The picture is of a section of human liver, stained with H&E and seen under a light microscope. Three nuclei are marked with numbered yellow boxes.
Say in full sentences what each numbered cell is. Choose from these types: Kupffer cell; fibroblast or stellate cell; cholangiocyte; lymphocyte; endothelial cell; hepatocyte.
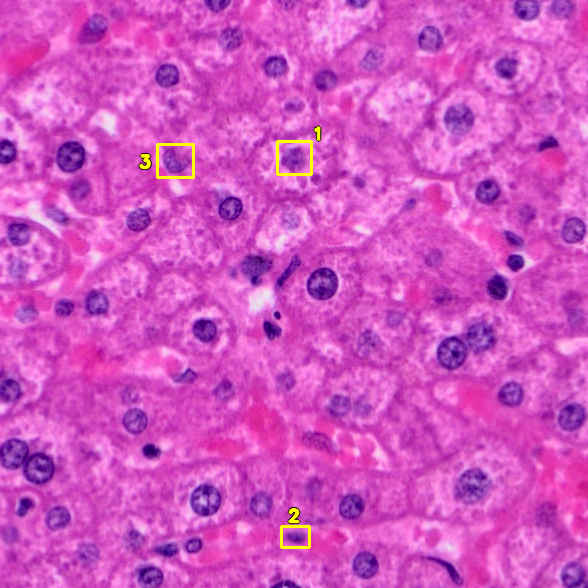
Cell 1 is a hepatocyte, cell 2 is a lymphocyte and cell 3 is a Kupffer cell.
